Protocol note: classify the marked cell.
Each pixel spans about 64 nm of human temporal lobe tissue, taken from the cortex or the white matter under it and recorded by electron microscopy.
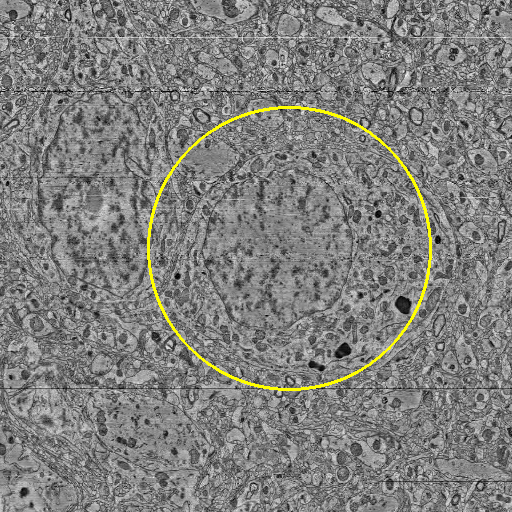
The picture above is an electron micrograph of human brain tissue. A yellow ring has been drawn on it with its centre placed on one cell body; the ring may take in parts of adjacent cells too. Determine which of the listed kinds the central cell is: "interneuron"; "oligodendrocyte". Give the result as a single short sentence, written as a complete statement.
The central cell is an interneuron.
